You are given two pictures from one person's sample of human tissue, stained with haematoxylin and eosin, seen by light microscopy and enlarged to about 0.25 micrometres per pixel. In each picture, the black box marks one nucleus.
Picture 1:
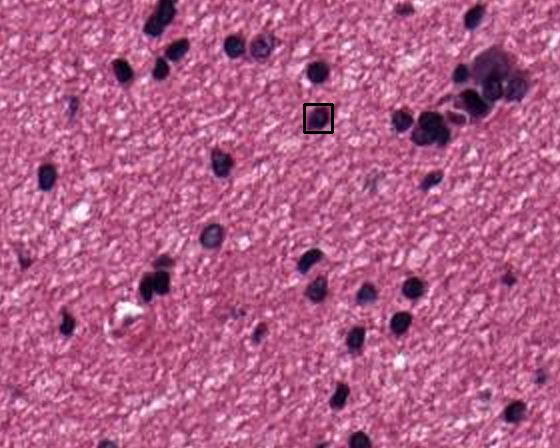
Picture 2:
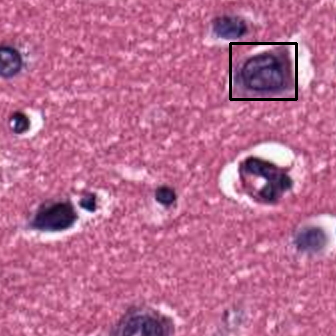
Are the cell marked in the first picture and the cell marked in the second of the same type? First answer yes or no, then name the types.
No, the first is an oligodendrocyte and the second a neuron.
